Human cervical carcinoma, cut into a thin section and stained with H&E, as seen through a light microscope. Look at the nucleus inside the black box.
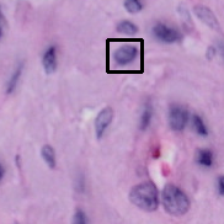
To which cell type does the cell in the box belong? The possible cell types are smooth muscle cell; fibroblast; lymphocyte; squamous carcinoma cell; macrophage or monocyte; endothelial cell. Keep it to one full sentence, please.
The identity of the cell in the box: it is a fibroblast.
